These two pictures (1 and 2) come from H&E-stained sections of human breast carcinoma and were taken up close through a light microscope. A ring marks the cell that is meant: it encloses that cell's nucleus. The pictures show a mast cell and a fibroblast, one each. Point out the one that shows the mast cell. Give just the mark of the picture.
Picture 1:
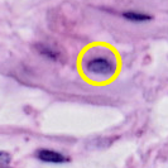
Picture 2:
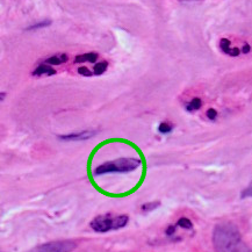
1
